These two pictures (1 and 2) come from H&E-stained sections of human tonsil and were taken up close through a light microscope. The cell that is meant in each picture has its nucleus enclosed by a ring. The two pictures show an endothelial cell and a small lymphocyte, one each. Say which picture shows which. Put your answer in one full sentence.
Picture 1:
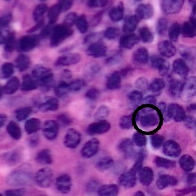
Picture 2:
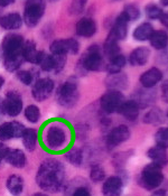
In picture 1 the cell is a small lymphocyte; in picture 2, an endothelial cell.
